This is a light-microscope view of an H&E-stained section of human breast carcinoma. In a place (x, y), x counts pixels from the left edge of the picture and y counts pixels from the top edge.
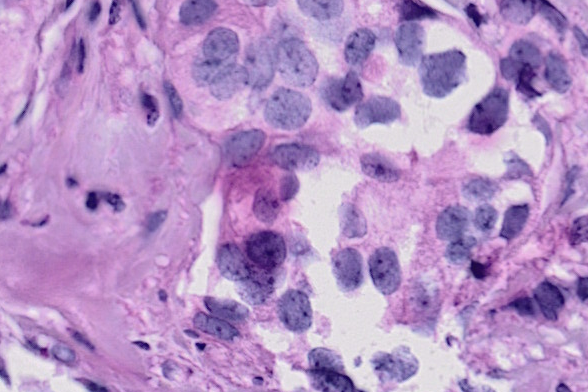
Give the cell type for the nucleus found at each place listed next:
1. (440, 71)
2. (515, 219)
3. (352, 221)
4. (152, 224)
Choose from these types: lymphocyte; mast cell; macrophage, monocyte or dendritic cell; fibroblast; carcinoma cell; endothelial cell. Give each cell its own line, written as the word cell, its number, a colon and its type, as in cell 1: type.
cell 1: carcinoma cell
cell 2: carcinoma cell
cell 3: carcinoma cell
cell 4: fibroblast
